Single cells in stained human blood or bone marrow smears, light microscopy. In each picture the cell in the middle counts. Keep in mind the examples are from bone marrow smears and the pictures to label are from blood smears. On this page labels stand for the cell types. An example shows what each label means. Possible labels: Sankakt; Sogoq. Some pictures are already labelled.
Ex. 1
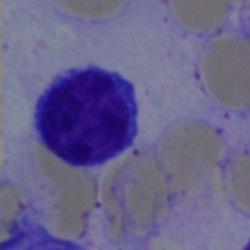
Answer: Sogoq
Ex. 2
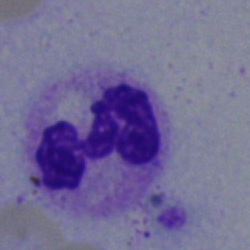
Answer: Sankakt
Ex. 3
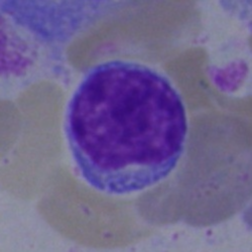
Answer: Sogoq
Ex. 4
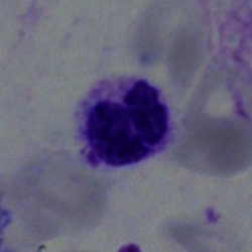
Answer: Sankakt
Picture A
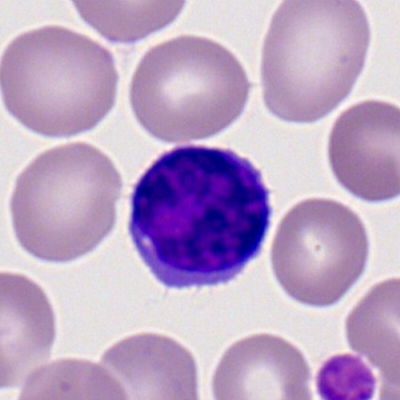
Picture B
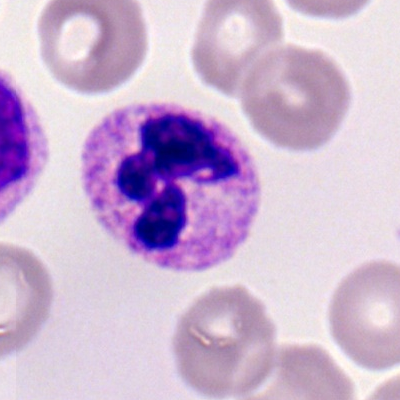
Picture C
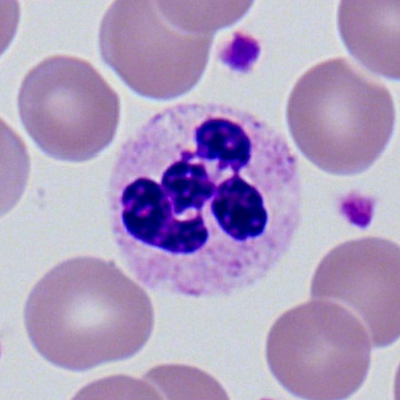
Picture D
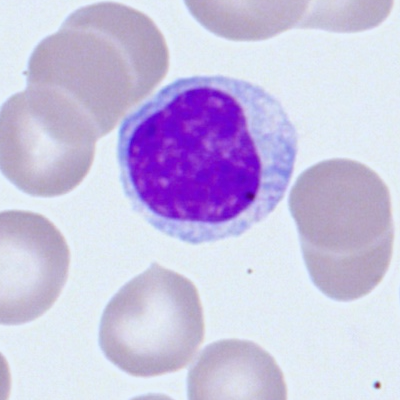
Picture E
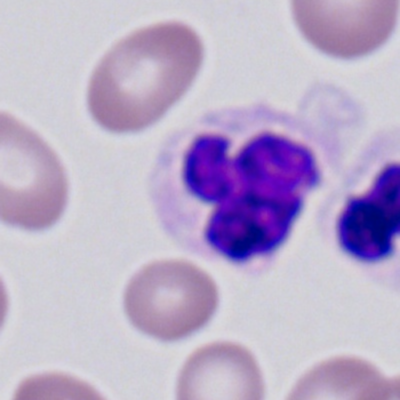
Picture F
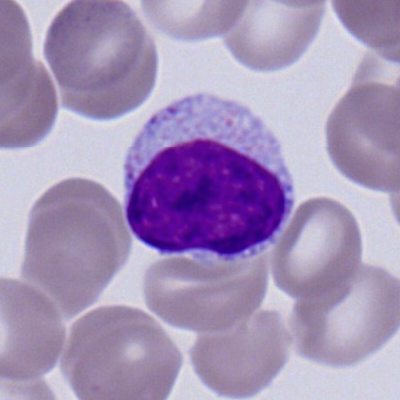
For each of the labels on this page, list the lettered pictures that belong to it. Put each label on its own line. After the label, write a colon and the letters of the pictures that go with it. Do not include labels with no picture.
Sankakt: B, C, E
Sogoq: A, D, F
